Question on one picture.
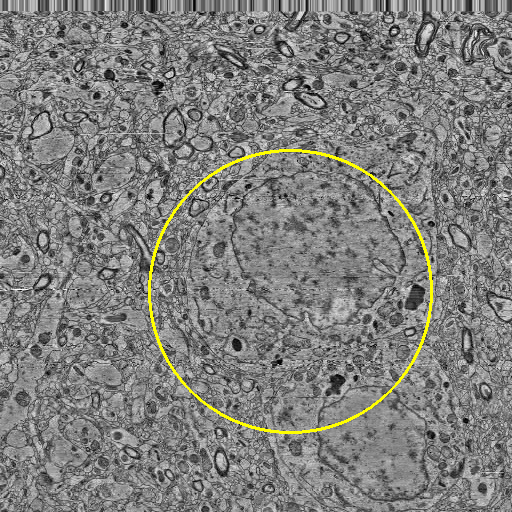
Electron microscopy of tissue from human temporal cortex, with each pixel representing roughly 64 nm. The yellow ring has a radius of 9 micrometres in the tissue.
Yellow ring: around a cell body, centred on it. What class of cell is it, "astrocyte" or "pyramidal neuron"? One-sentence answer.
This is a pyramidal neuron, the cell the ring is centred on.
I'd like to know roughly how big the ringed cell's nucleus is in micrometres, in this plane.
Approximately 11 micrometres across, in this plane.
